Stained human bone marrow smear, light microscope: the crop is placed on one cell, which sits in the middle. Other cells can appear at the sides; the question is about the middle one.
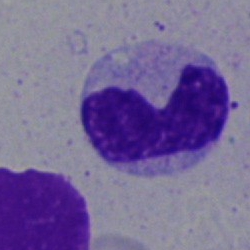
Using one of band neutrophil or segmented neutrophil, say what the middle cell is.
band neutrophil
